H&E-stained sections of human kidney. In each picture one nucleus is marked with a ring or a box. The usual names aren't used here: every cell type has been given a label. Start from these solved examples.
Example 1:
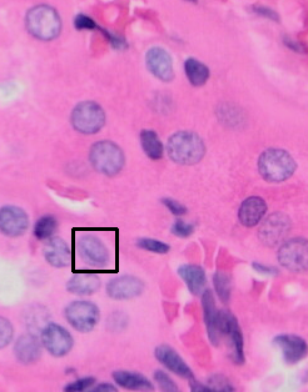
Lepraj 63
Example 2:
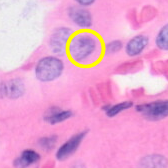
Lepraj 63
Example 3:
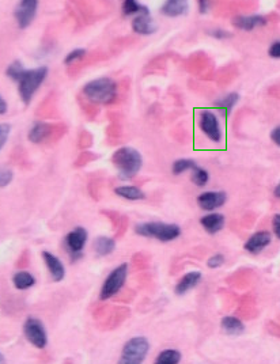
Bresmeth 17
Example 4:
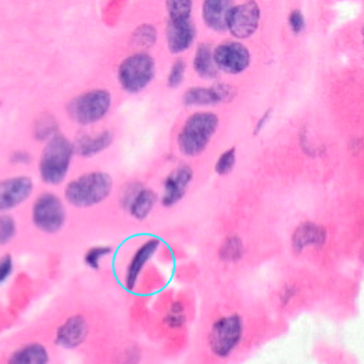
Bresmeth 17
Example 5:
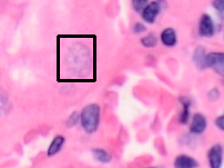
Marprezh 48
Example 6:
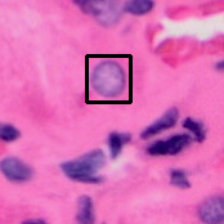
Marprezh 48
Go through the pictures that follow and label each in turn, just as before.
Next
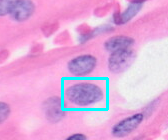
Lepraj 63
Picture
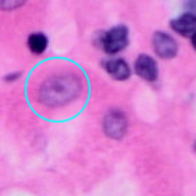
Marprezh 48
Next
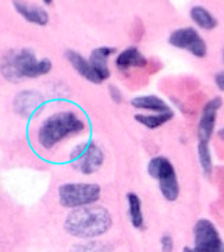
Lepraj 63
